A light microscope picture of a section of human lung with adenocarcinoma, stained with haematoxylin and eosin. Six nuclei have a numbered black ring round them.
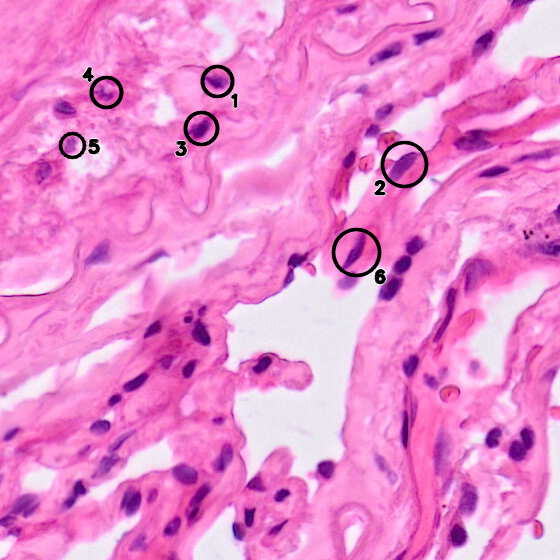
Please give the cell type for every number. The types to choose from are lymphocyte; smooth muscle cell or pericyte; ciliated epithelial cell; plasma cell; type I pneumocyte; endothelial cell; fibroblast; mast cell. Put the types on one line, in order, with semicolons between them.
smooth muscle cell or pericyte; type I pneumocyte; smooth muscle cell or pericyte; smooth muscle cell or pericyte; smooth muscle cell or pericyte; endothelial cell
